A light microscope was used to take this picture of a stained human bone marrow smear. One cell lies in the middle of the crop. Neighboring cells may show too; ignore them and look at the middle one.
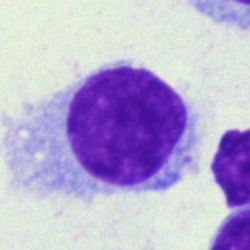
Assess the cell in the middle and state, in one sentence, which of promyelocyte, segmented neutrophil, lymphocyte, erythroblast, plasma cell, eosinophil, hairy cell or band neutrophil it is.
The identification for the central cell is a hairy cell.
